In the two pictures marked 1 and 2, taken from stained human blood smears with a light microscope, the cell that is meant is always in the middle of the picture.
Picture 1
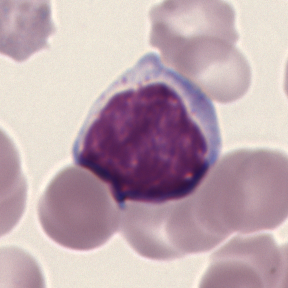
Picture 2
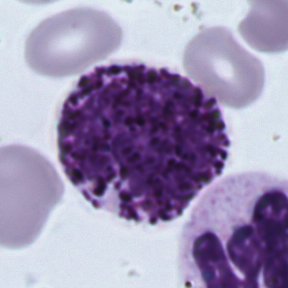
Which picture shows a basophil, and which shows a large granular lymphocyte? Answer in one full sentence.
In picture 1 the cell is a large granular lymphocyte; in picture 2, a basophil.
